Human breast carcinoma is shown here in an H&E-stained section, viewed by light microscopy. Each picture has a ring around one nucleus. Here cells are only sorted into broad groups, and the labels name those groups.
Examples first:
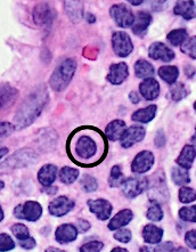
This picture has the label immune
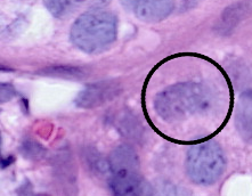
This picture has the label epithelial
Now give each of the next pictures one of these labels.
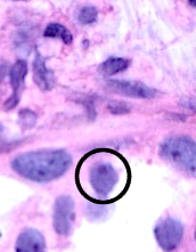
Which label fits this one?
epithelial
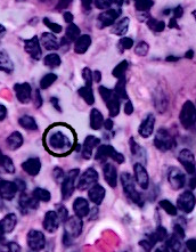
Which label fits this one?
immune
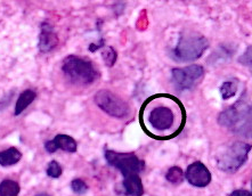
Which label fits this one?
epithelial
